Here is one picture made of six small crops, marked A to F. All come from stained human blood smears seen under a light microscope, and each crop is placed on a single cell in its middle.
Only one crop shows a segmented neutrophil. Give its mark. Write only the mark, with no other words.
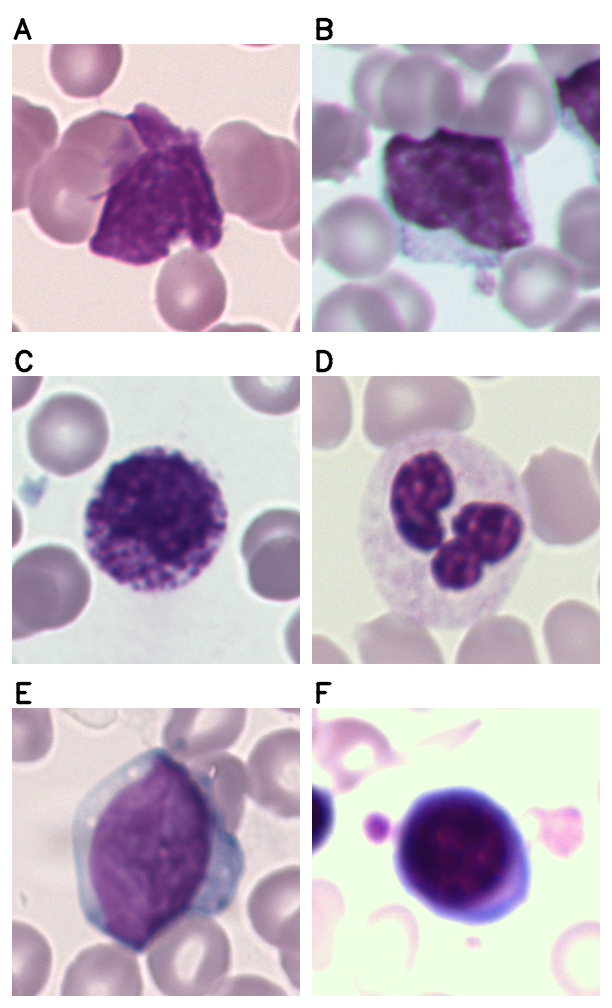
D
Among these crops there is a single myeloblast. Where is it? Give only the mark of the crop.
E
